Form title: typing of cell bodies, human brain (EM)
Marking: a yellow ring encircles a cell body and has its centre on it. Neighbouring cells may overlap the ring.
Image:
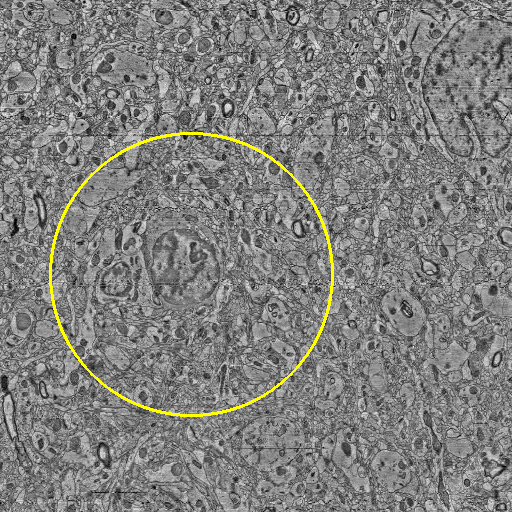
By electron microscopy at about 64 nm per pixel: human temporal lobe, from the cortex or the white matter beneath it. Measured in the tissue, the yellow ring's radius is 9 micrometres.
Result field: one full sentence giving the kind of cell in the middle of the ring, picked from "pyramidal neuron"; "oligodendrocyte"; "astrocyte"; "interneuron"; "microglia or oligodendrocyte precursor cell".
In the picture, the ring is centred on an oligodendrocyte, whose cell body it encircles.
